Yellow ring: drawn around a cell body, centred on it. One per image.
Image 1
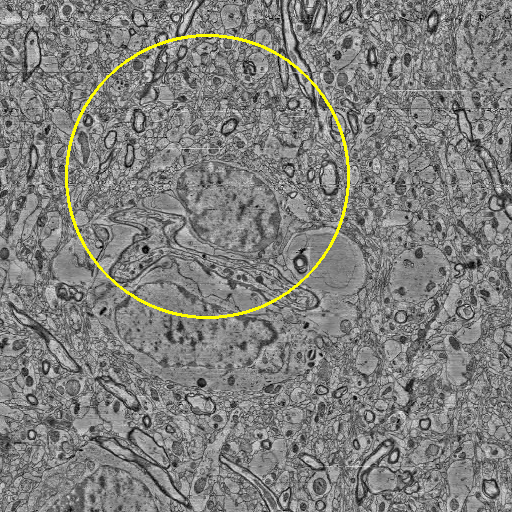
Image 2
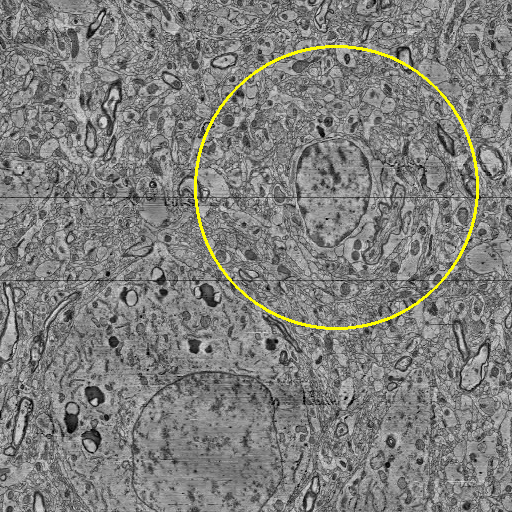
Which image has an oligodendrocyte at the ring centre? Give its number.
1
